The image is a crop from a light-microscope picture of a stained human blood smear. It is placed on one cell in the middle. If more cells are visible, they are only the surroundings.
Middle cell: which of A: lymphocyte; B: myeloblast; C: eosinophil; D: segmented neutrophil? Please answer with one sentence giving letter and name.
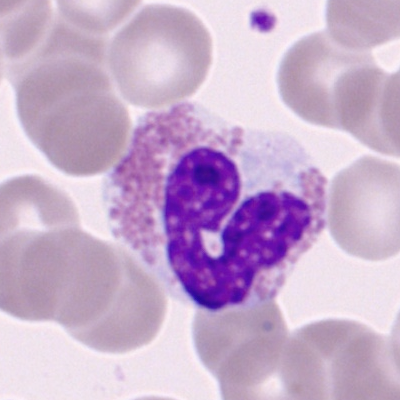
Seen at the centre of the crop is an eosinophil, so option C is correct.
